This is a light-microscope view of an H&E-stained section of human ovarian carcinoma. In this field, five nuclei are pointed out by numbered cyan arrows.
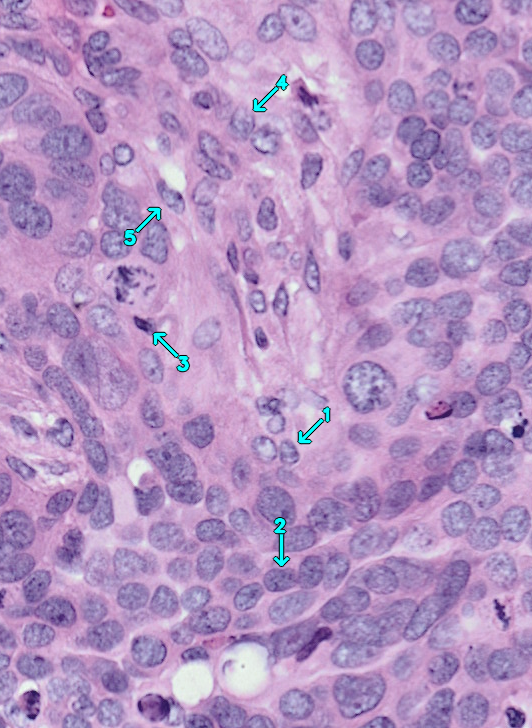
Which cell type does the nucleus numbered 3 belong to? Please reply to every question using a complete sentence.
Number 3 among the marked cells is a lymphocyte.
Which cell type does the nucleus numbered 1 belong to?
The one labeled 1 is a fibroblast, to put it simply.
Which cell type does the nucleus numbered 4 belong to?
The cell pointed out as number 4 is a fibroblast.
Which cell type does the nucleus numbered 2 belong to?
Among the marked cells, number 2 is a carcinoma cell.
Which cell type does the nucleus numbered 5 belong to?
Here, the cell given the number 5 is a fibroblast.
